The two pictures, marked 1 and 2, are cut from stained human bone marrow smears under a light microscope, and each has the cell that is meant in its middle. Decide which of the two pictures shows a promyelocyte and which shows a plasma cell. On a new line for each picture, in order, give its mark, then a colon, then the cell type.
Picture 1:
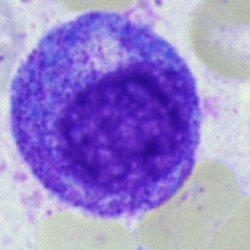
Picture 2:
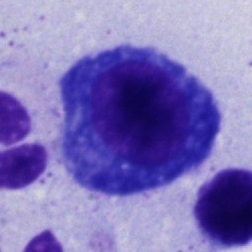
1: promyelocyte
2: plasma cell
